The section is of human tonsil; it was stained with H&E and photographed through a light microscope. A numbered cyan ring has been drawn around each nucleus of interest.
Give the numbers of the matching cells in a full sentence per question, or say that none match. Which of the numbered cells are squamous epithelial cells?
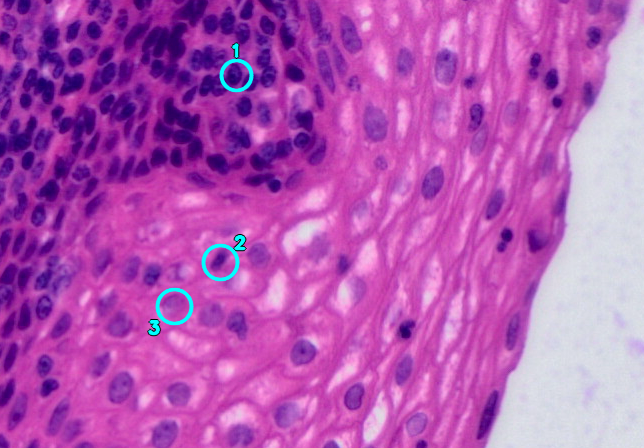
Into the category of squamous epithelial cells fall the cells numbered 2 and 3.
